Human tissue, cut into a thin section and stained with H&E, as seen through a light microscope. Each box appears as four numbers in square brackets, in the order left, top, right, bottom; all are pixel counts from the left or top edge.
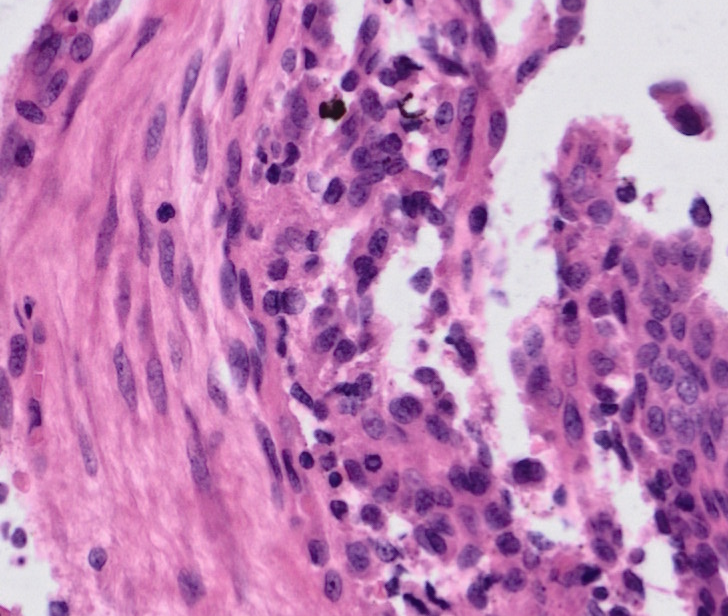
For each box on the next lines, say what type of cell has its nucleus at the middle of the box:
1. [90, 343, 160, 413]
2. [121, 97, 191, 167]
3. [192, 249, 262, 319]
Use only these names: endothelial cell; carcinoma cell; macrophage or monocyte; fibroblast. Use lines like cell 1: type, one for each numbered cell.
cell 1: fibroblast
cell 2: fibroblast
cell 3: endothelial cell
